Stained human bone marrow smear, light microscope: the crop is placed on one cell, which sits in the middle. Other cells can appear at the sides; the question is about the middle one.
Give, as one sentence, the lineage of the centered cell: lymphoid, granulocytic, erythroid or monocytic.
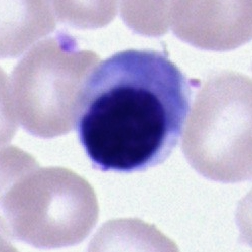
In this crop the cell in the center is part of the erythroid lineage.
